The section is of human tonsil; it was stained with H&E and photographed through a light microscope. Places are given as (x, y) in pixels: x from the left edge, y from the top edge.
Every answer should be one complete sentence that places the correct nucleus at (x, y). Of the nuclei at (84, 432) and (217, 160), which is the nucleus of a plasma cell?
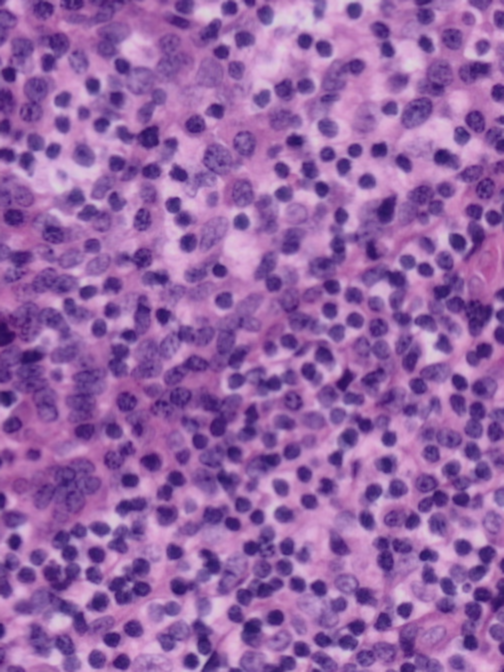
Among the two, the nucleus at (84, 432) is the nucleus of a plasma cell.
